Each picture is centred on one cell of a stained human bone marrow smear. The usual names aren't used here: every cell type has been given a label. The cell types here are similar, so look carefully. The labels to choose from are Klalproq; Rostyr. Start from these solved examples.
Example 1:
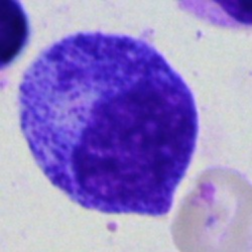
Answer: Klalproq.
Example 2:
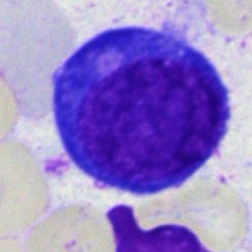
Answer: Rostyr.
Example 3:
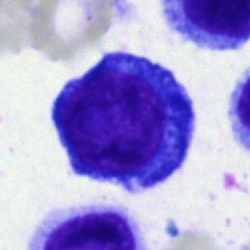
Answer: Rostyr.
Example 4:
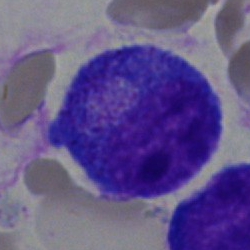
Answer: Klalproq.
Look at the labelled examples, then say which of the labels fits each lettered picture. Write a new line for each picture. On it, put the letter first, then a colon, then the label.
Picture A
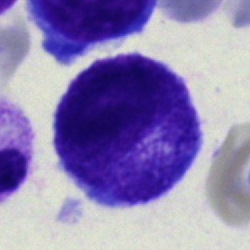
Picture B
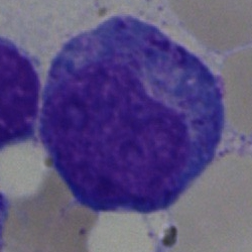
A: Klalproq.
B: Klalproq.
